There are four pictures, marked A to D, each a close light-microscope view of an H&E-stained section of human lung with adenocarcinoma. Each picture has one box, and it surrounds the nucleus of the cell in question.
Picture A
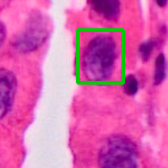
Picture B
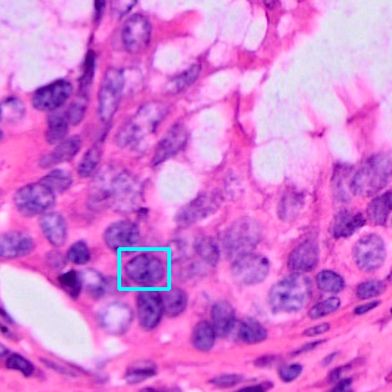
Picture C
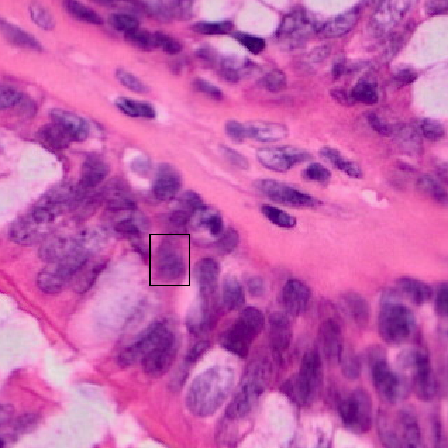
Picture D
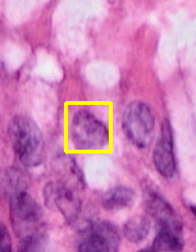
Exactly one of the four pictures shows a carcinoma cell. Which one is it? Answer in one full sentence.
It is picture A that shows the carcinoma cell.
